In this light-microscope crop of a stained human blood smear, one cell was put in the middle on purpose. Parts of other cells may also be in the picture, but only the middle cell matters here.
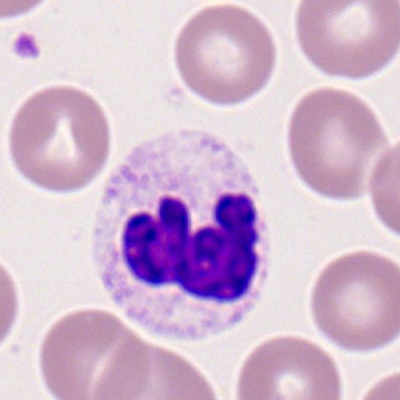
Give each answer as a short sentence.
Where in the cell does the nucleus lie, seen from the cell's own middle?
Toward the lower right of the cell lies its nucleus.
